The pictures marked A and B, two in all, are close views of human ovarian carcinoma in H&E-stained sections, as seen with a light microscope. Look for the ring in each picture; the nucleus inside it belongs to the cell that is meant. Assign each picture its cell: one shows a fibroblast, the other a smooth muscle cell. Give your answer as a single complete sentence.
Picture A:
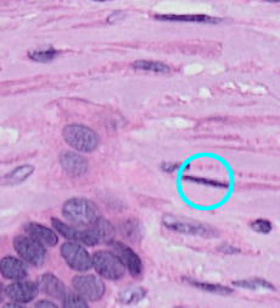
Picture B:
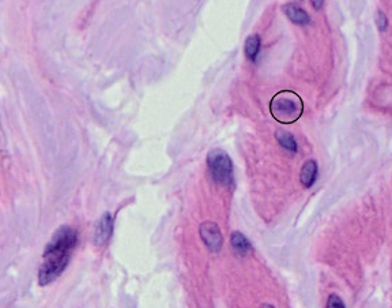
It is picture A that shows a fibroblast, and picture B that shows a smooth muscle cell.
